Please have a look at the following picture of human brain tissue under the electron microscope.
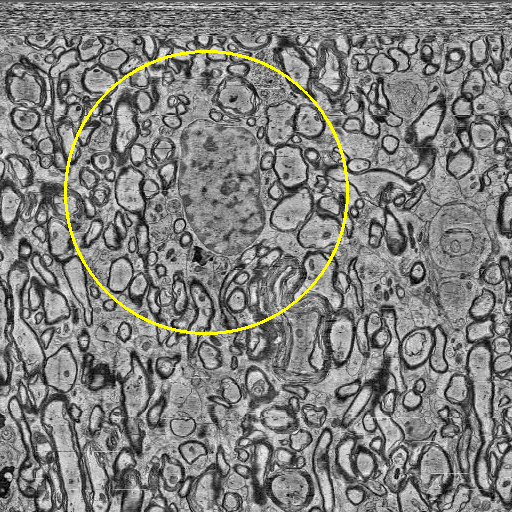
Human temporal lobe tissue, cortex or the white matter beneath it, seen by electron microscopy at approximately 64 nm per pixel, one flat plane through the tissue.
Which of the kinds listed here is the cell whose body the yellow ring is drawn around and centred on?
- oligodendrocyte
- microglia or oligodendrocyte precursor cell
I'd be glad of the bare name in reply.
microglia or oligodendrocyte precursor cell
